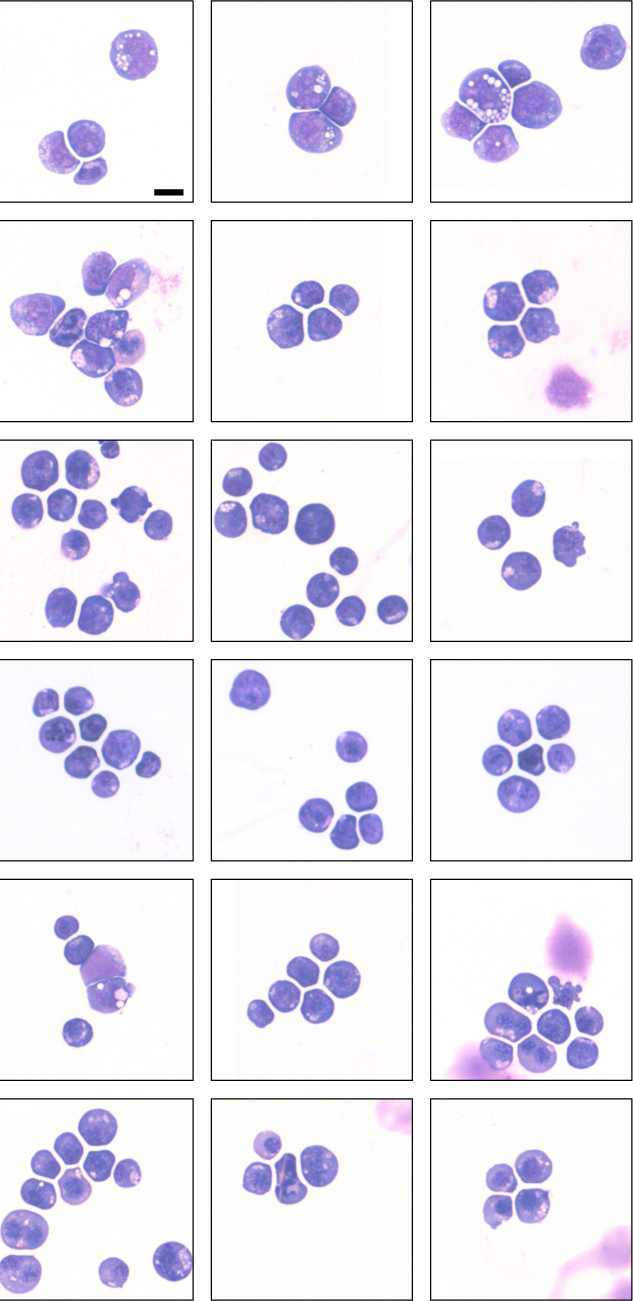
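Most cells are round, with a large purple nucleus and a rim of blue-purple cytoplasm. In the upper fields many cells are larger and hold clear vacuoles in their cytoplasm. Scattered pink amorphous material lies in the background of some fields.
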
